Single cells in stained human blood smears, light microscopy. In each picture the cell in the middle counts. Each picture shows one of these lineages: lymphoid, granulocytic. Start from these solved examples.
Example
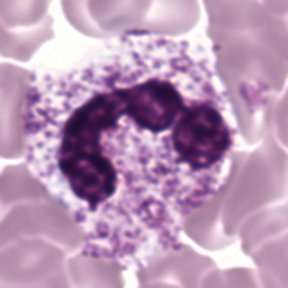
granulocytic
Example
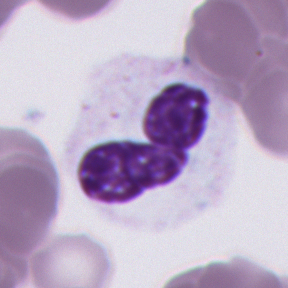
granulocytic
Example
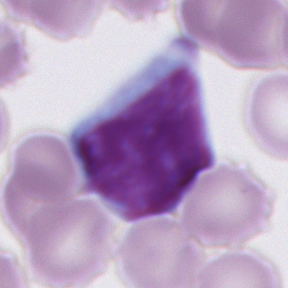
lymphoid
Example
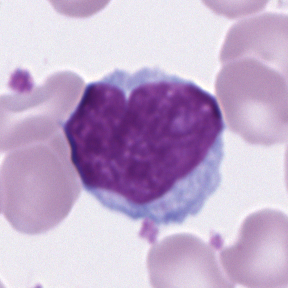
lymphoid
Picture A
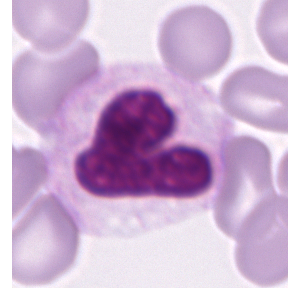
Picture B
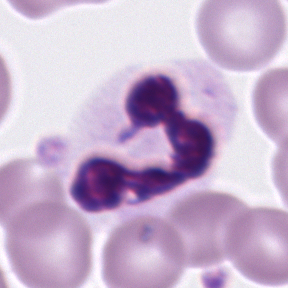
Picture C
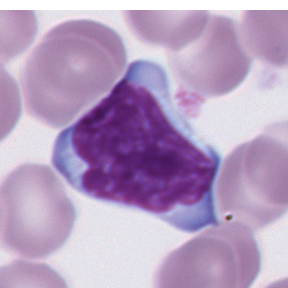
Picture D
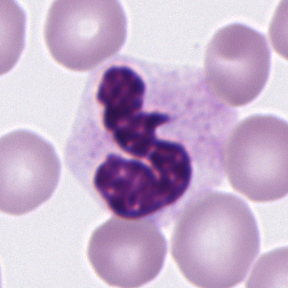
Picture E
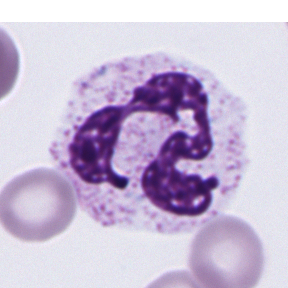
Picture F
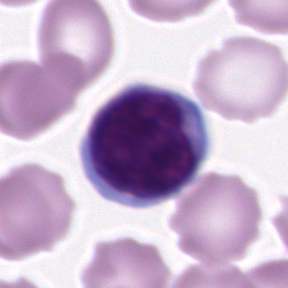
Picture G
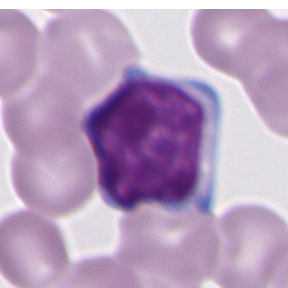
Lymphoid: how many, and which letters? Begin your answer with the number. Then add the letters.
3: C, F, G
